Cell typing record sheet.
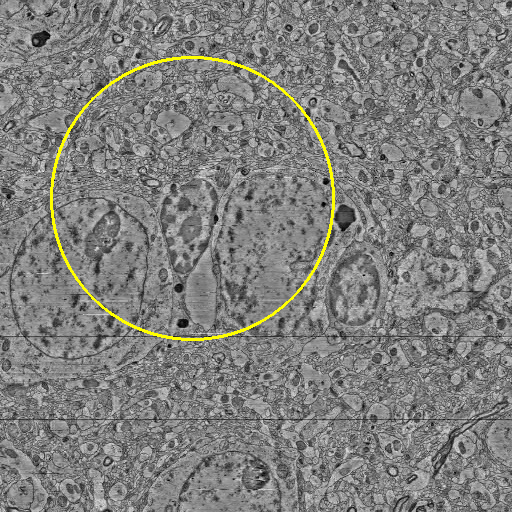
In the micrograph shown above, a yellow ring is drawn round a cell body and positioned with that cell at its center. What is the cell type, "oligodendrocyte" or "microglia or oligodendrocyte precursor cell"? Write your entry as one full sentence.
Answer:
The cell body at the center of the ring belongs to a microglial cell or oligodendrocyte precursor cell.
